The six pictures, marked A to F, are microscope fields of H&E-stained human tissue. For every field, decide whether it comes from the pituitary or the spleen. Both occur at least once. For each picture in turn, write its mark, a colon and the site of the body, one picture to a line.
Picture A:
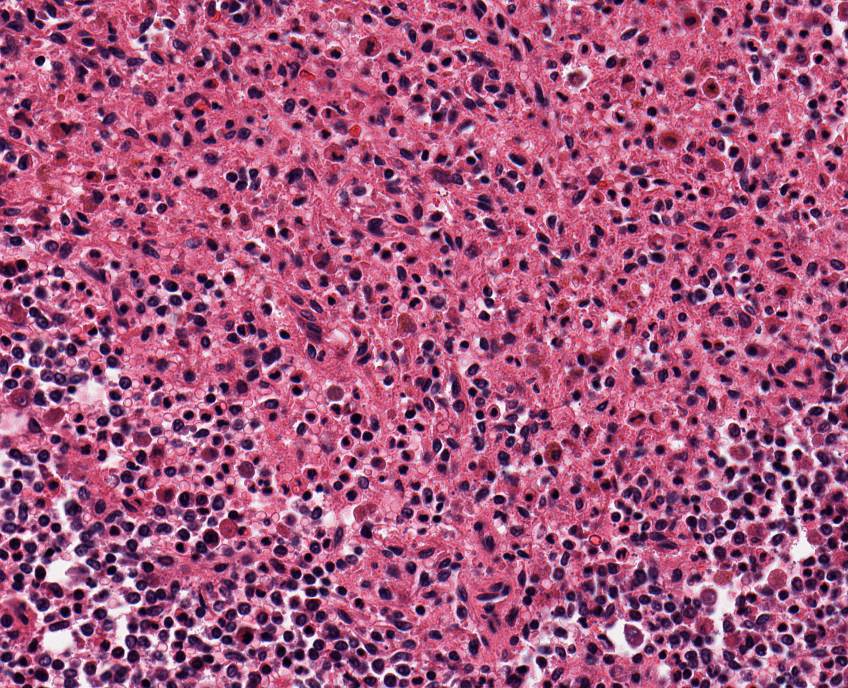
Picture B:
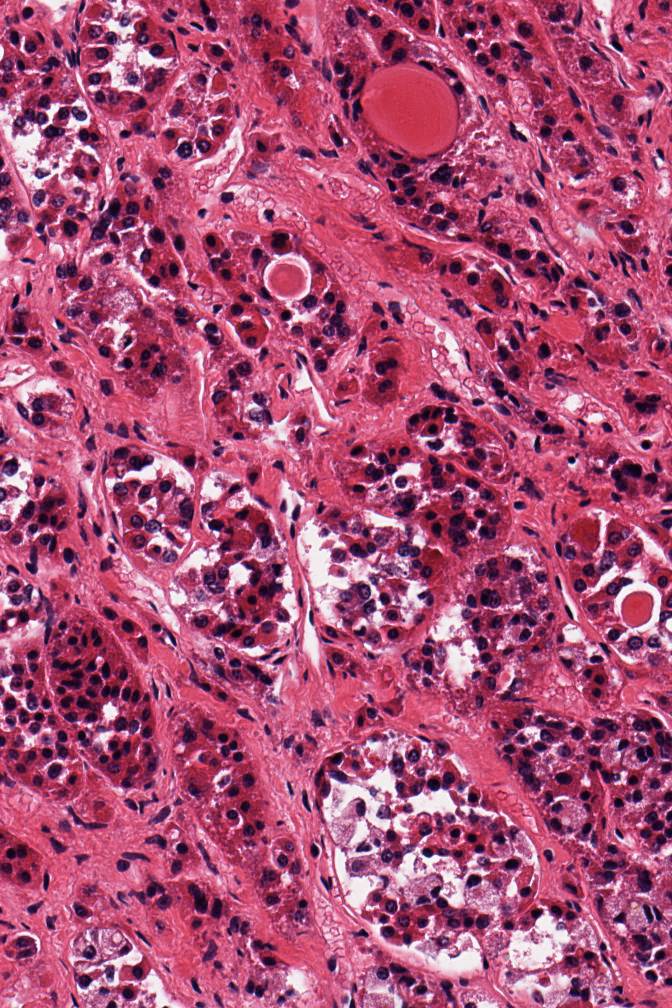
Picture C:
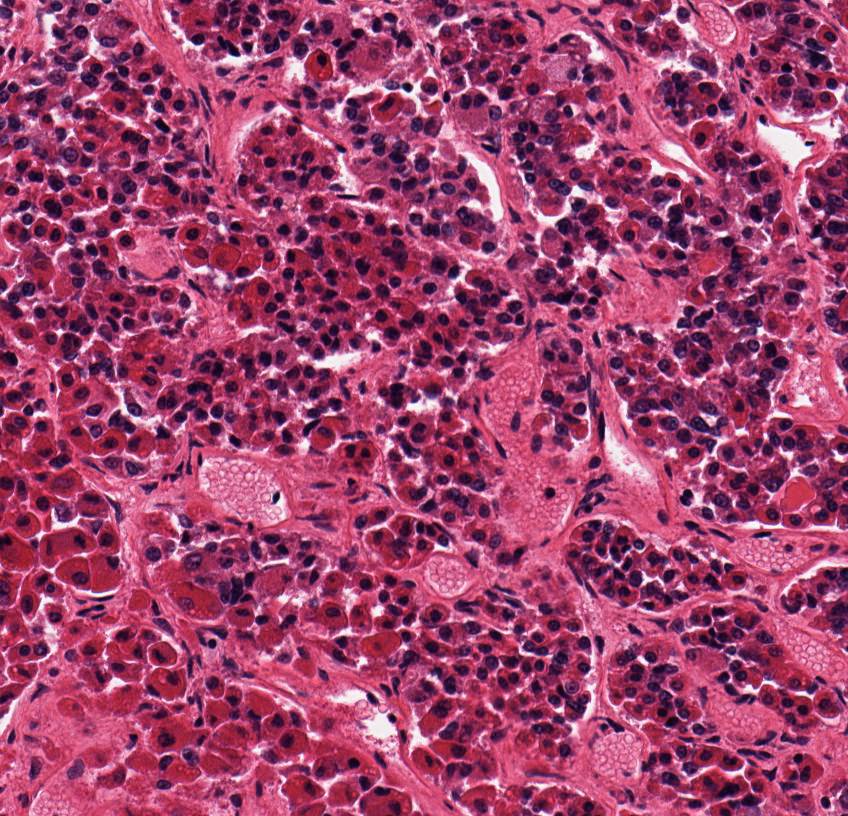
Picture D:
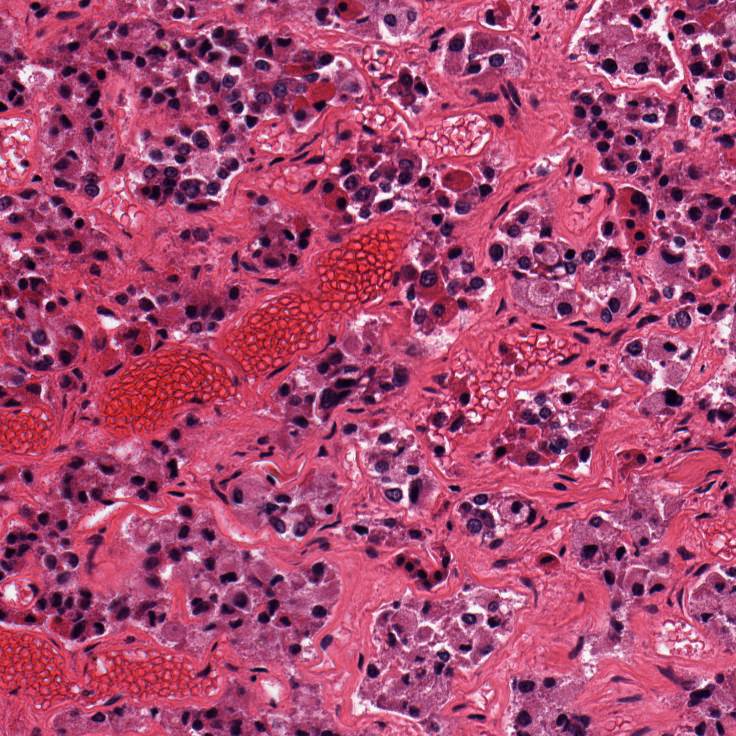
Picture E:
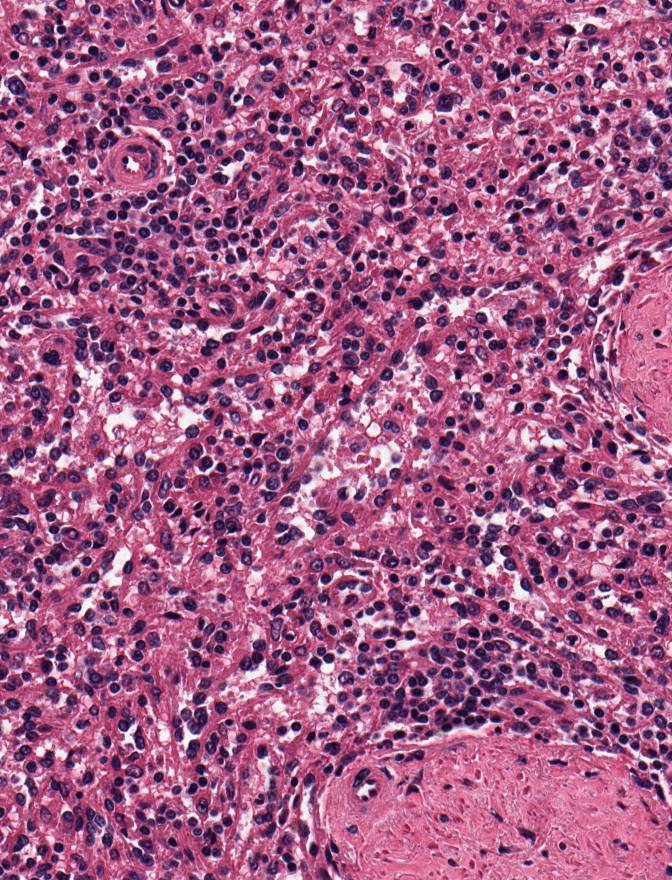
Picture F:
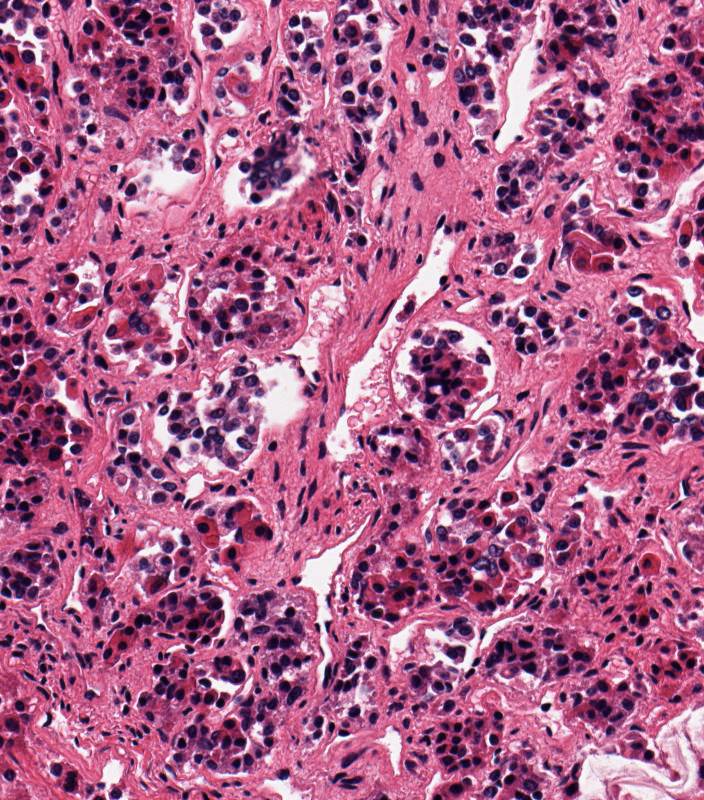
A: spleen
B: pituitary
C: pituitary
D: pituitary
E: spleen
F: pituitary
